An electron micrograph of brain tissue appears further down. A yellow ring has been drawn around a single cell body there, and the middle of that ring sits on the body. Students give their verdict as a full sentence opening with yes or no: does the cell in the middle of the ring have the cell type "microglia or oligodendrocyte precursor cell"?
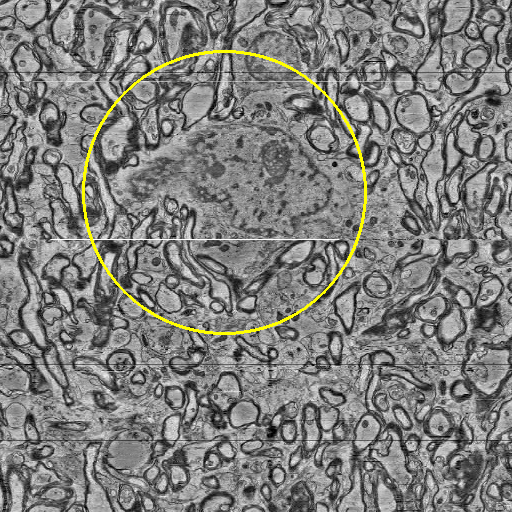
No, in this picture the cell sitting at the middle of the ring has a different cell type.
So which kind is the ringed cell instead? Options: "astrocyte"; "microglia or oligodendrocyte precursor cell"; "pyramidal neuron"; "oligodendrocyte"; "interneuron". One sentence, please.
At the centre of the ring sits an astrocyte.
